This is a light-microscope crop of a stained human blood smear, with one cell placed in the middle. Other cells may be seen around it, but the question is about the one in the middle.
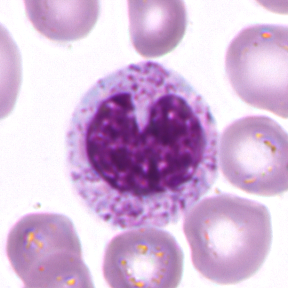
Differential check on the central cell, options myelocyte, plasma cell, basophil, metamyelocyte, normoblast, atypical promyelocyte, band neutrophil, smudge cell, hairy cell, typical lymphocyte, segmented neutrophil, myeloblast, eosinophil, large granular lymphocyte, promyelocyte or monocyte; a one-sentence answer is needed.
The cell in the exact centre of the crop is a band neutrophil.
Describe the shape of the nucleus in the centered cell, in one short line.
The cell carries one compact nucleus shaped round, oval or like a kidney.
